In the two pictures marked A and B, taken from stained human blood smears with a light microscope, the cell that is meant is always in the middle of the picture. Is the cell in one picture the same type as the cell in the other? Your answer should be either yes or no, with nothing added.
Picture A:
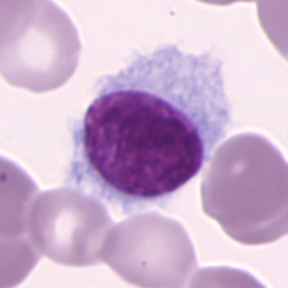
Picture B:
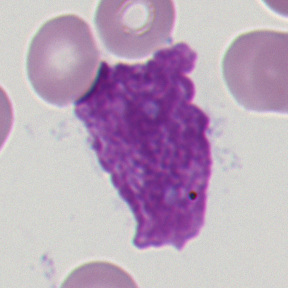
no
